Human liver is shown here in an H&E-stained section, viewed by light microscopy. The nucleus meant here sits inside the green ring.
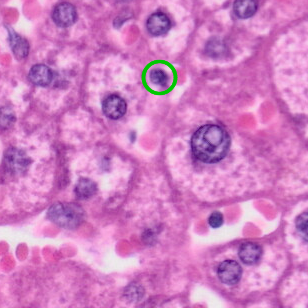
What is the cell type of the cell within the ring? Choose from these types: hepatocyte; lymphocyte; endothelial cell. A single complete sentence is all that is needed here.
In the tissue at hand, the cell within the ring is a lymphocyte.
